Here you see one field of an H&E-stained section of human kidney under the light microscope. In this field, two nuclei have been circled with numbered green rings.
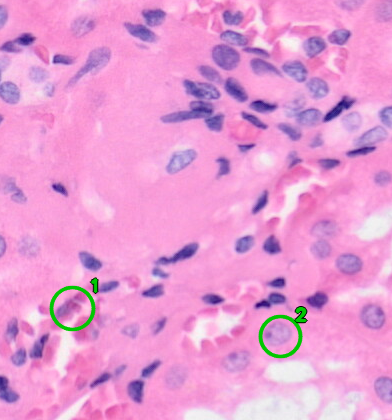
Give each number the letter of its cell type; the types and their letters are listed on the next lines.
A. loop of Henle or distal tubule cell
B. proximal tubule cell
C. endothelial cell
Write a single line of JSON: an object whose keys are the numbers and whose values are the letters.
{"1": "C", "2": "B"}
